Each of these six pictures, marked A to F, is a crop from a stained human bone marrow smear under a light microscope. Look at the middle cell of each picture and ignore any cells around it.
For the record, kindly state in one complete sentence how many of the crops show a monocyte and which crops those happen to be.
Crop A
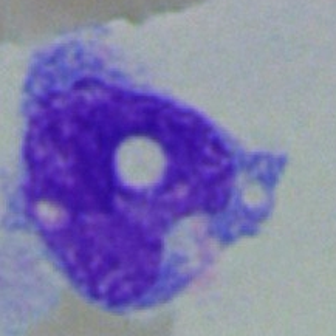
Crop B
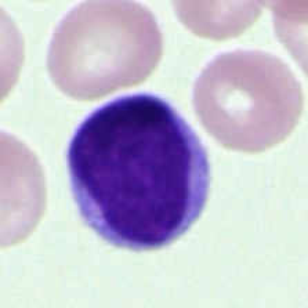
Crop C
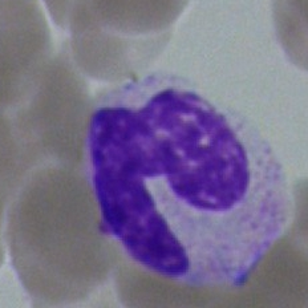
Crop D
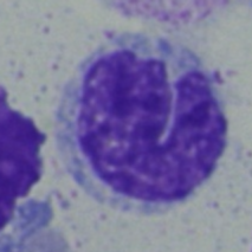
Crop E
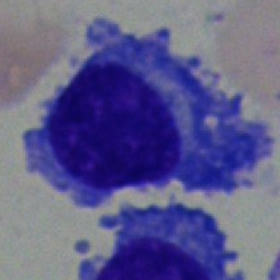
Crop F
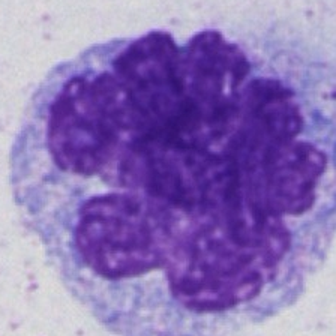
The number of crops showing monocytes is three, these being A, D and F.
